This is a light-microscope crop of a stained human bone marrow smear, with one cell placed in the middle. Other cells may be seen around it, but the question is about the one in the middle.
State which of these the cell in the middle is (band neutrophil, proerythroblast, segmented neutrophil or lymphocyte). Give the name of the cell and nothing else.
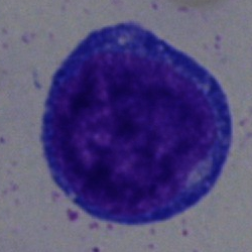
proerythroblast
